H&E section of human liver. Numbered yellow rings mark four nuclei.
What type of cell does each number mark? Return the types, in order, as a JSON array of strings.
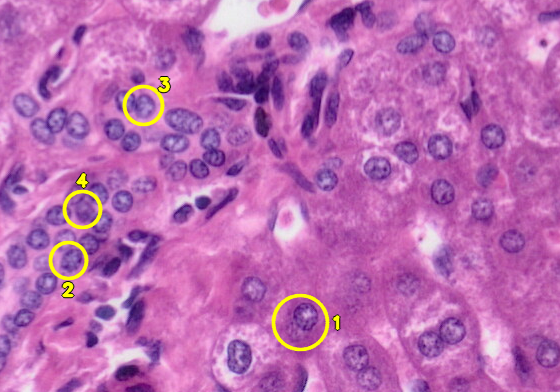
["hepatocyte", "cholangiocyte", "cholangiocyte", "cholangiocyte"]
